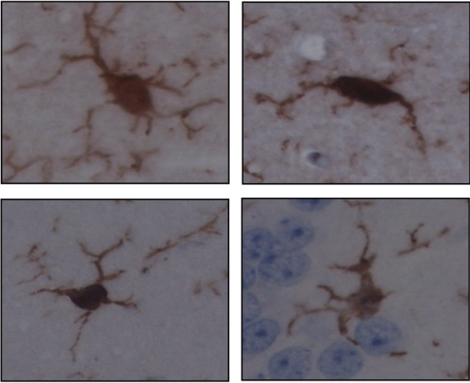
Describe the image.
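Four enlarged views of single microglia stained brown against a pale grey-brown background, with blue counterstained nuclei of neighbouring cells. Each microglial cell has a small, densely brown cell body from which thin, branching processes radiate. In one view the cell body is elongated and very dark, with relatively short, sparse processes. In the others the cell body is smaller and rounded to irregular, giving rise to several longer, finely branched processes that extend into the surrounding tissue.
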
